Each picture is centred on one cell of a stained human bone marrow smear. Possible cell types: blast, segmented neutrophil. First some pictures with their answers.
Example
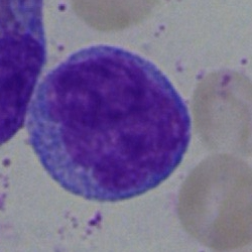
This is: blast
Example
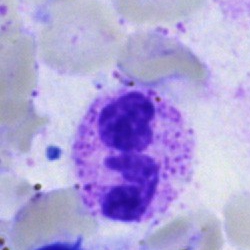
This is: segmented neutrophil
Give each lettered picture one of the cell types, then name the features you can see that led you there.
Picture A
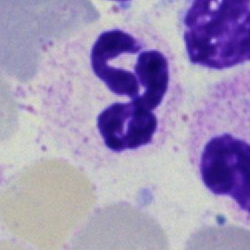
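Label: segmented neutrophil. The cytoplasm is plentiful and pale pinkish-lilac.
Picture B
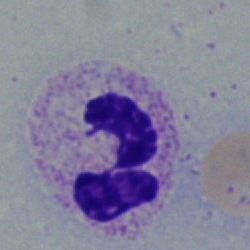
Label: segmented neutrophil. Fine pink-violet granules are scattered throughout the cytoplasm.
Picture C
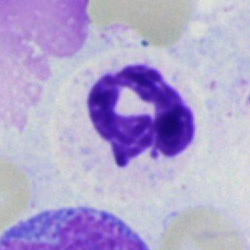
Label: segmented neutrophil. The chromatin is dense and dark purple with coarse clumping.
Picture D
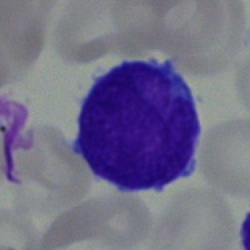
Label: blast. Cytoplasm is so scant that the nucleus seems to fill almost the whole cell.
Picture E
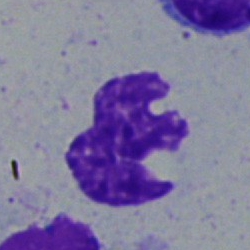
Label: segmented neutrophil. The chromatin is dark purple and coarsely clumped, with small pale patches between the clumps.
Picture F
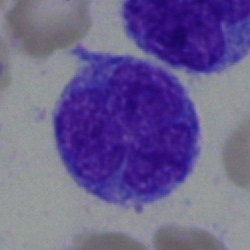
Label: blast. The nucleus fills almost the whole cell.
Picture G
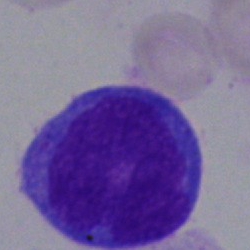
Label: blast. The chromatin is finely textured rather than coarsely clumped.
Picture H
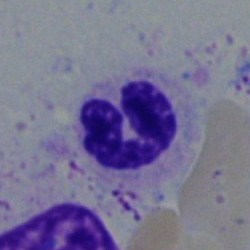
Label: segmented neutrophil. A wide rim of pale pinkish-lilac cytoplasm surrounds the nucleus.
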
